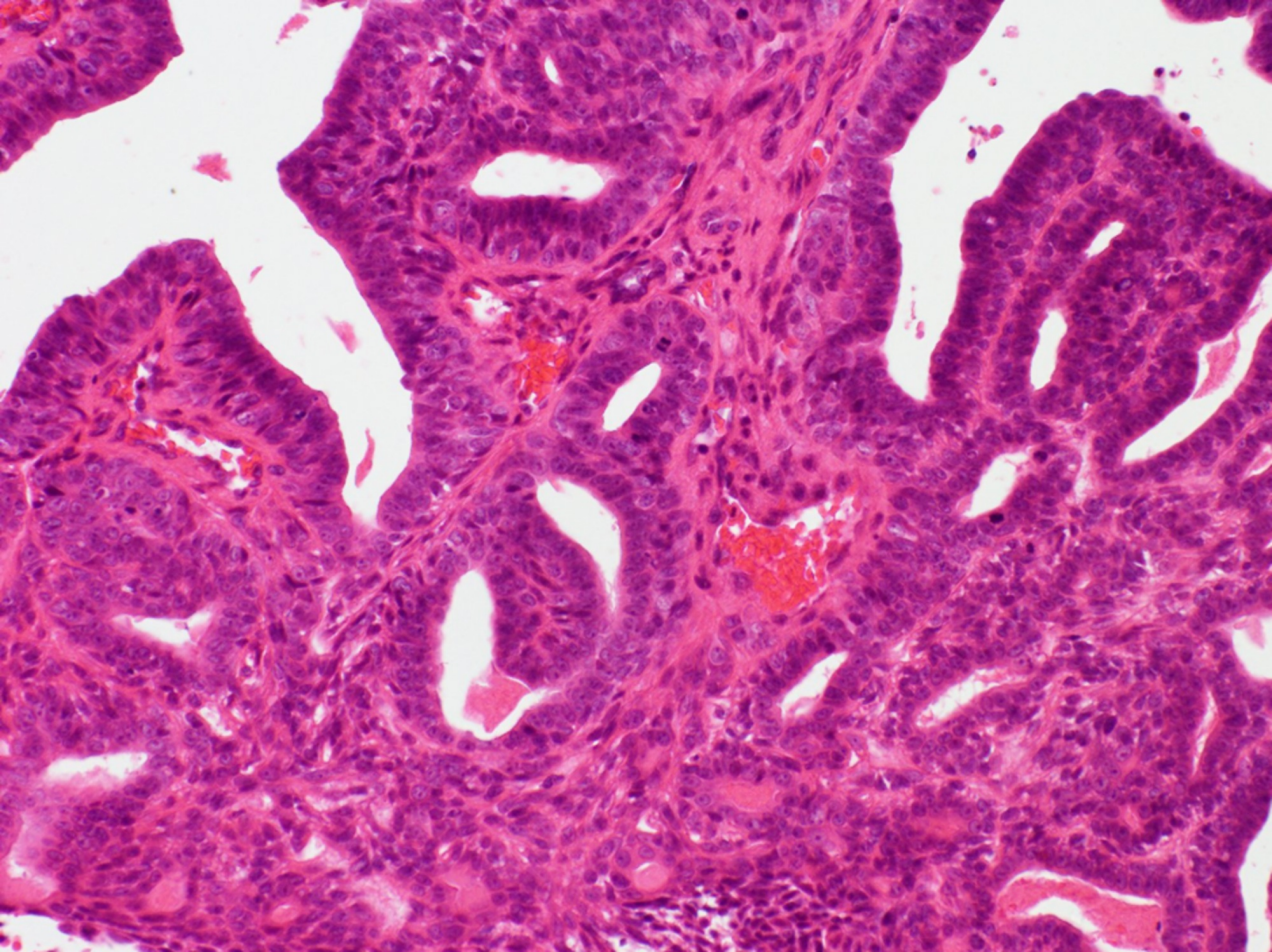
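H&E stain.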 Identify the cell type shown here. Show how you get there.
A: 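Lining cells have enlarged, dark-staining, crowded nuclei. Nuclei are stratified and lose polarity.
Conclusion: atypical, hyperchromatic cells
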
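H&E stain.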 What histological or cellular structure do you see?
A: Tubular and papillary structures.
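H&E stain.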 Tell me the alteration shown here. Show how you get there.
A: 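Adenocarcinoma. Crowded back-to-back glands with little intervening stroma. Glands lined by stratified columnar epithelium with enlarged dark nuclei. Papillary fronds projecting into open spaces.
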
